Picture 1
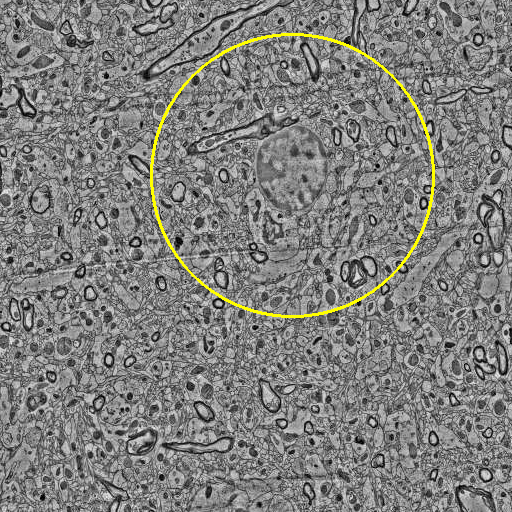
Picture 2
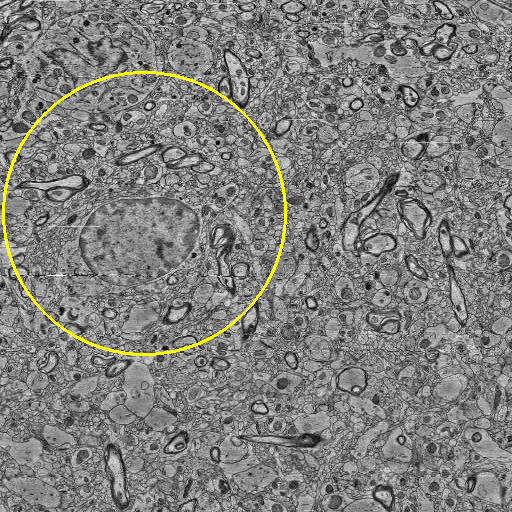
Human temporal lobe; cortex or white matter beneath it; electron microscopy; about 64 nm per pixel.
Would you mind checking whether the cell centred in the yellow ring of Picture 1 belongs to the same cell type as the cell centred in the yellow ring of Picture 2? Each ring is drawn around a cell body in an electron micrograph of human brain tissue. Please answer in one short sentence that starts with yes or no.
No, the two cells are of two types.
